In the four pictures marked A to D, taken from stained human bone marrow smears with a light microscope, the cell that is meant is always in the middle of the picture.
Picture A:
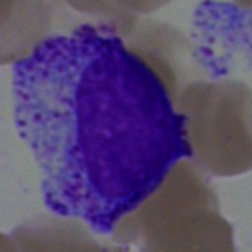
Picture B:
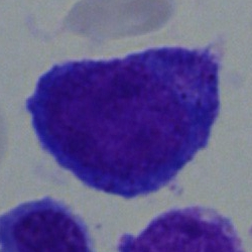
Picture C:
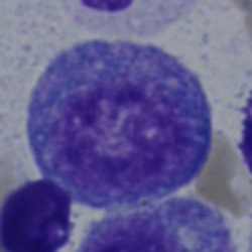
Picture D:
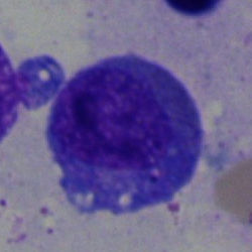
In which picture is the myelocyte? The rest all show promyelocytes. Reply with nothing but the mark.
A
